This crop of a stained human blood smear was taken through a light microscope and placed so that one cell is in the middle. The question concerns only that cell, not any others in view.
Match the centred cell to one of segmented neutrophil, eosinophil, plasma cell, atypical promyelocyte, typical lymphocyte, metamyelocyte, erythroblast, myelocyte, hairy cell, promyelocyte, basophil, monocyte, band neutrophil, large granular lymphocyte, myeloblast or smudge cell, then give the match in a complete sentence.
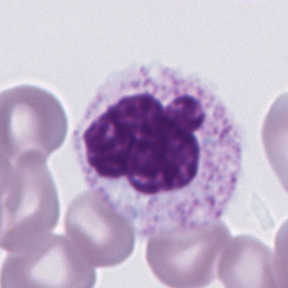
This particular crop is centered on a segmented neutrophil.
